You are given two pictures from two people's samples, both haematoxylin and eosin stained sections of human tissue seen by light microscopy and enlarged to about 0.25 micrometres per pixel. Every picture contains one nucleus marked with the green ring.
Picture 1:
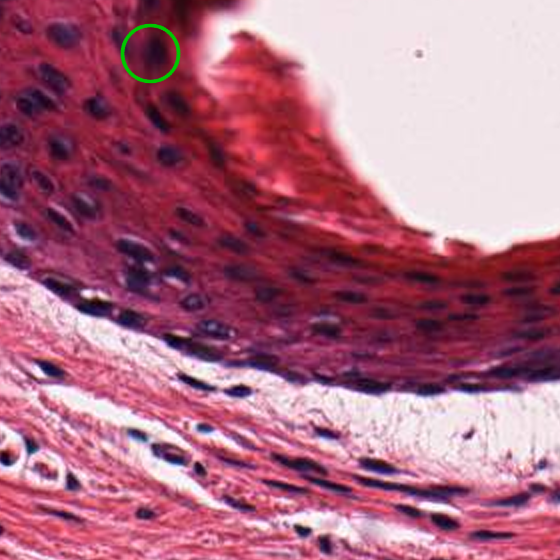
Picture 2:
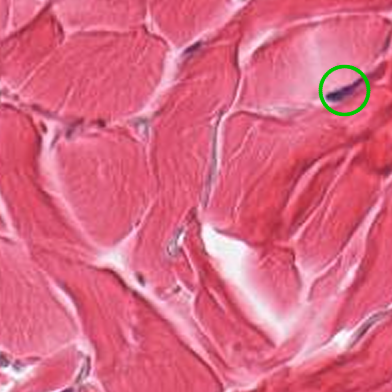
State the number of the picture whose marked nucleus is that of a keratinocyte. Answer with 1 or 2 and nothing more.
1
